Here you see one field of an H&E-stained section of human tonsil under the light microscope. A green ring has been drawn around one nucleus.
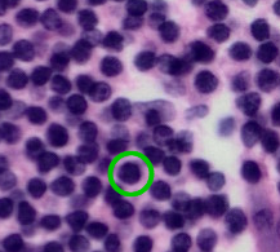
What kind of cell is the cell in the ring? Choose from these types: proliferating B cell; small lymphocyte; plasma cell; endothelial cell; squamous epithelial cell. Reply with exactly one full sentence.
In terms of identity, the cell in the ring is a small lymphocyte.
